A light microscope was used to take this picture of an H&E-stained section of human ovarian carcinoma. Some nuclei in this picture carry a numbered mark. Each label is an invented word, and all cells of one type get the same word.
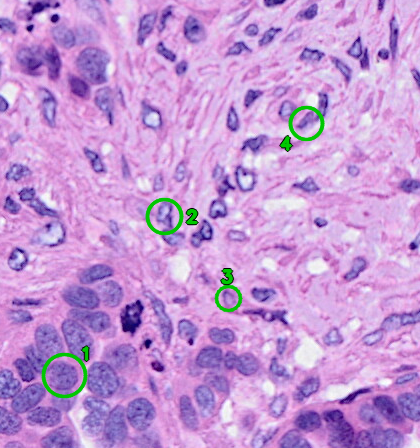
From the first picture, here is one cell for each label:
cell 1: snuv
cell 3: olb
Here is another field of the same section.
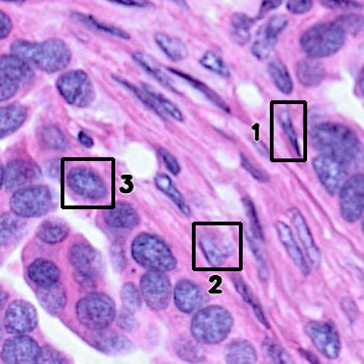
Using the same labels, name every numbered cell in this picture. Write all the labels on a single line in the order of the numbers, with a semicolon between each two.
olb; olb; snuv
